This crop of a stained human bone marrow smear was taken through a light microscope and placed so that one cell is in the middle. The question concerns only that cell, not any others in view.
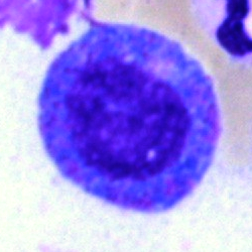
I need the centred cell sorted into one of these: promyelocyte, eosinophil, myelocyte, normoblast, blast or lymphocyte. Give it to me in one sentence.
In the crop, the cell of interest at the centre is a promyelocyte.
